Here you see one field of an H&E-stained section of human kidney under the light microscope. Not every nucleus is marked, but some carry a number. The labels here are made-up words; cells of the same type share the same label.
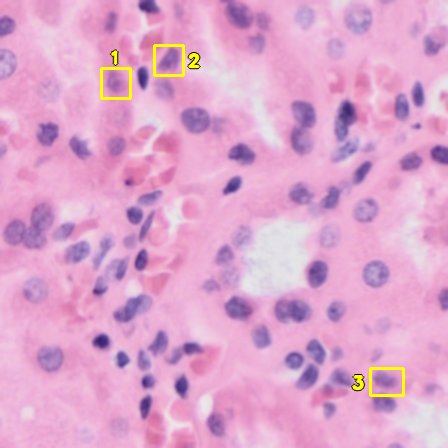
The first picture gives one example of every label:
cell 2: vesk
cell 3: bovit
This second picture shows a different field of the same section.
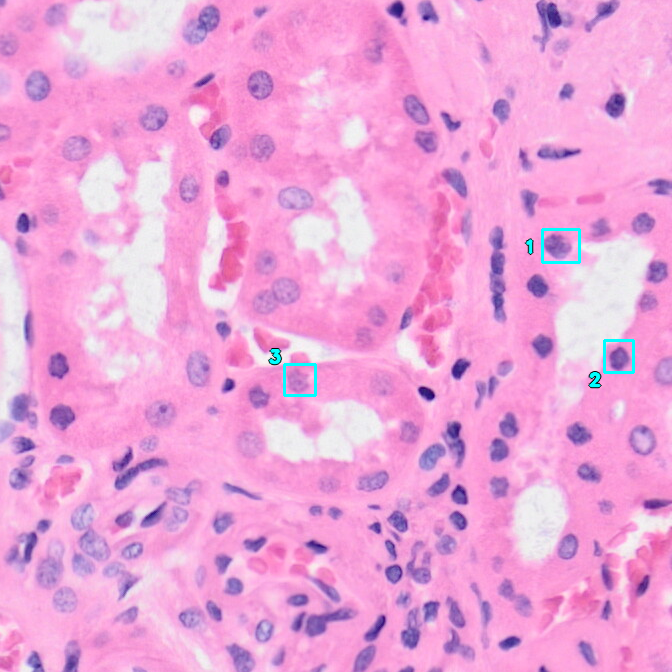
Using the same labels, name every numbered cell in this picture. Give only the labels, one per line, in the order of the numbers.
bovit
bovit
vesk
